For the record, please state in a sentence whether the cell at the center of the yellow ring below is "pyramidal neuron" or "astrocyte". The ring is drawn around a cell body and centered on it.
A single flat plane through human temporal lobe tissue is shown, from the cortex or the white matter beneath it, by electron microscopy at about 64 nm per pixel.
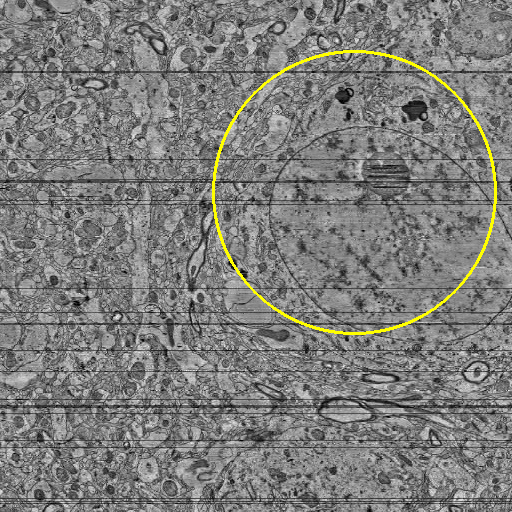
The cell at the ring's center is a pyramidal neuron.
